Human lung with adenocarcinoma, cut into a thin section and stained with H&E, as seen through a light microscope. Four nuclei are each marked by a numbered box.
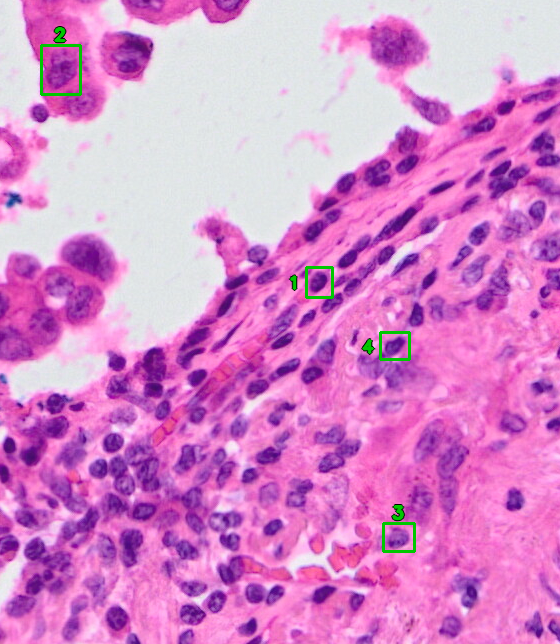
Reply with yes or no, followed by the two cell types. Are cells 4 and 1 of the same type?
Yes, that is right: cells 4 and 1 are both lymphocytes.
